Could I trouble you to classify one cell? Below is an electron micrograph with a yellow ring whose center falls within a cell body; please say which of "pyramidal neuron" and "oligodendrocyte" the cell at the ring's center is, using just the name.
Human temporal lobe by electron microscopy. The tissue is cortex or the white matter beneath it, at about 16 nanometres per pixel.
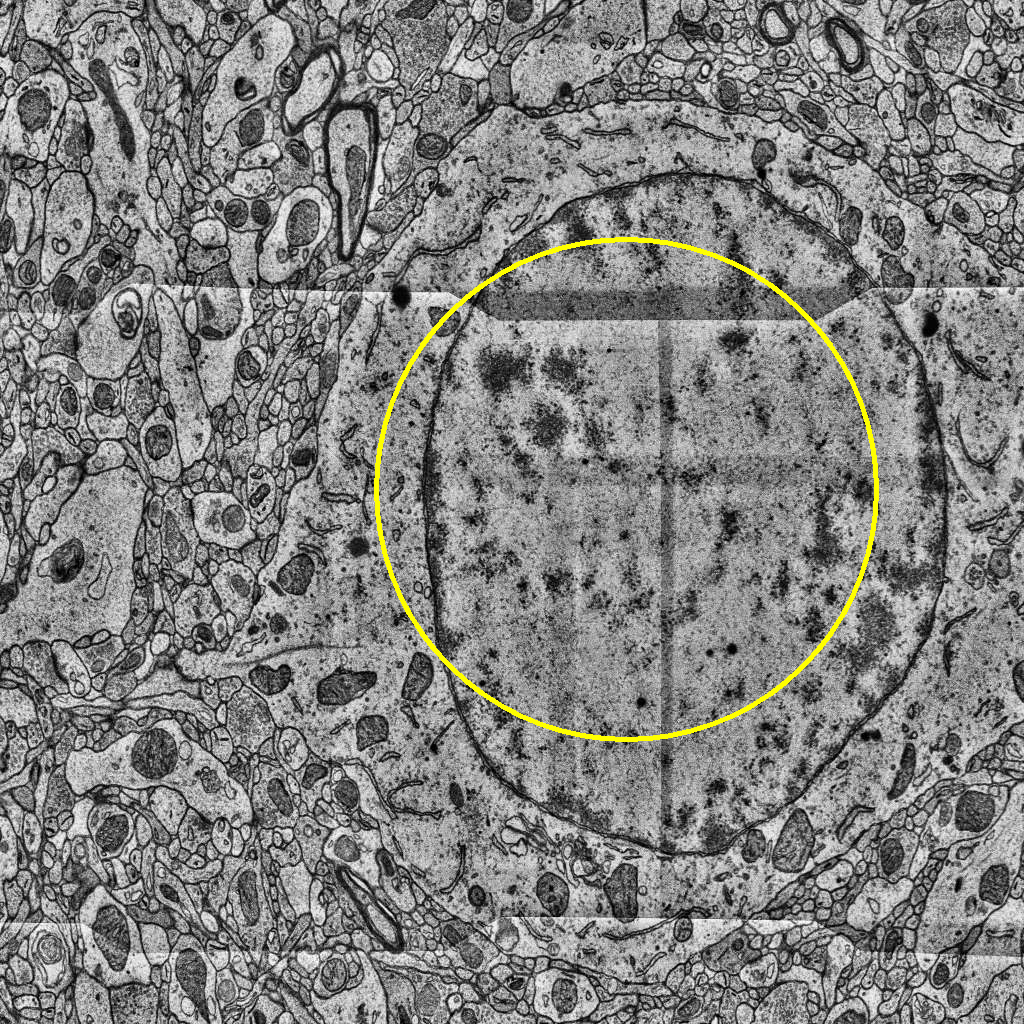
pyramidal neuron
